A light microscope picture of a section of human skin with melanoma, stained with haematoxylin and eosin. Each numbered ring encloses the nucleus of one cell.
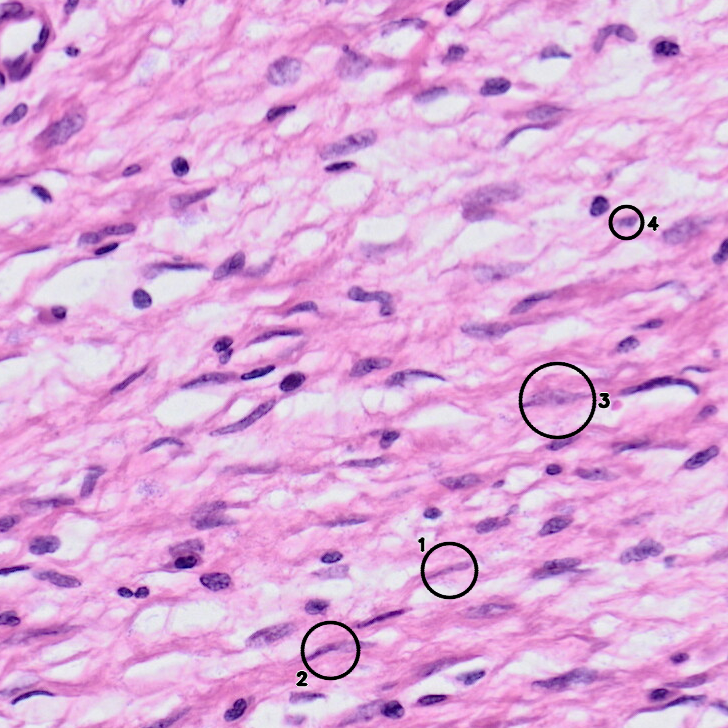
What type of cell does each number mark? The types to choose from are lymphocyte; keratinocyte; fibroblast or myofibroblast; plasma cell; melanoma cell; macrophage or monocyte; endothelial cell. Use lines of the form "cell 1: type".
cell 1: fibroblast or myofibroblast
cell 2: fibroblast or myofibroblast
cell 3: fibroblast or myofibroblast
cell 4: macrophage or monocyte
